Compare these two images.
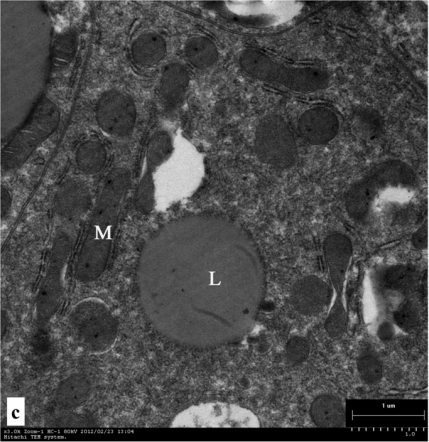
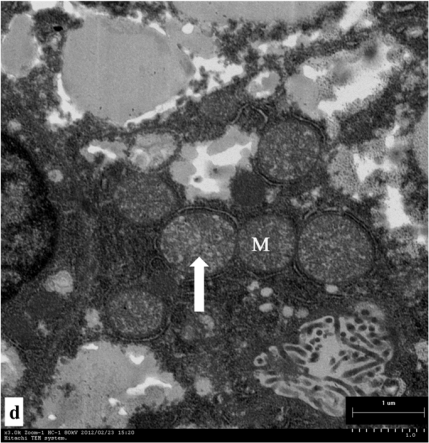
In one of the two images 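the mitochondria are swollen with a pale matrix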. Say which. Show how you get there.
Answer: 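Second image: mitochondria are round, swollen and pale with a granular matrix. First image: mitochondria are dark, dense and elongated or slender. So: the second image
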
